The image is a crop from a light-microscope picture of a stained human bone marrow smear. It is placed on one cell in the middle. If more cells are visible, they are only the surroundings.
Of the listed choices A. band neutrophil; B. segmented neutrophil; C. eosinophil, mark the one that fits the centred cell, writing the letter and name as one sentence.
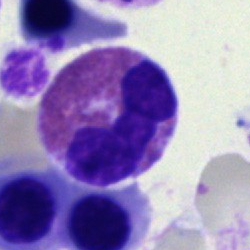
Since the cell in the centre is an eosinophil, the correct option is C.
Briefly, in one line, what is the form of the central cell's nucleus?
One defining trait here is a nucleus of two or more segments.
